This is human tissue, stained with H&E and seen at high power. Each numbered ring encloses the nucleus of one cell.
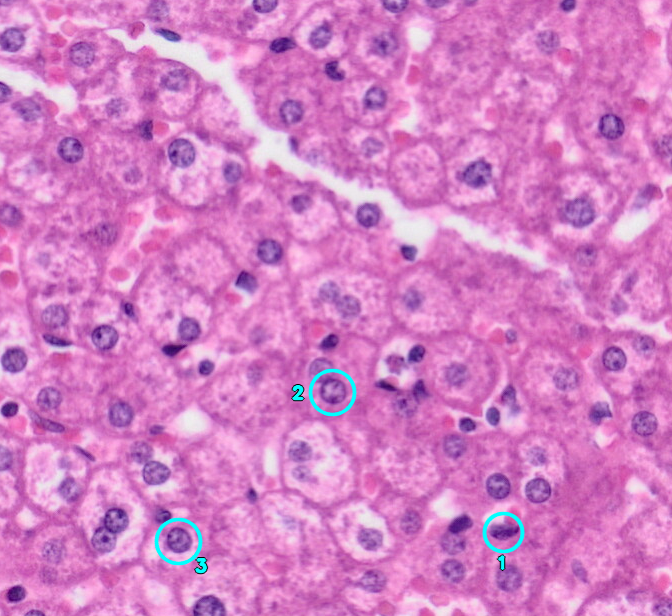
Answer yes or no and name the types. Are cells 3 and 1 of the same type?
No, in this section cell 3 is a hepatocyte and cell 1 is an endothelial cell.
